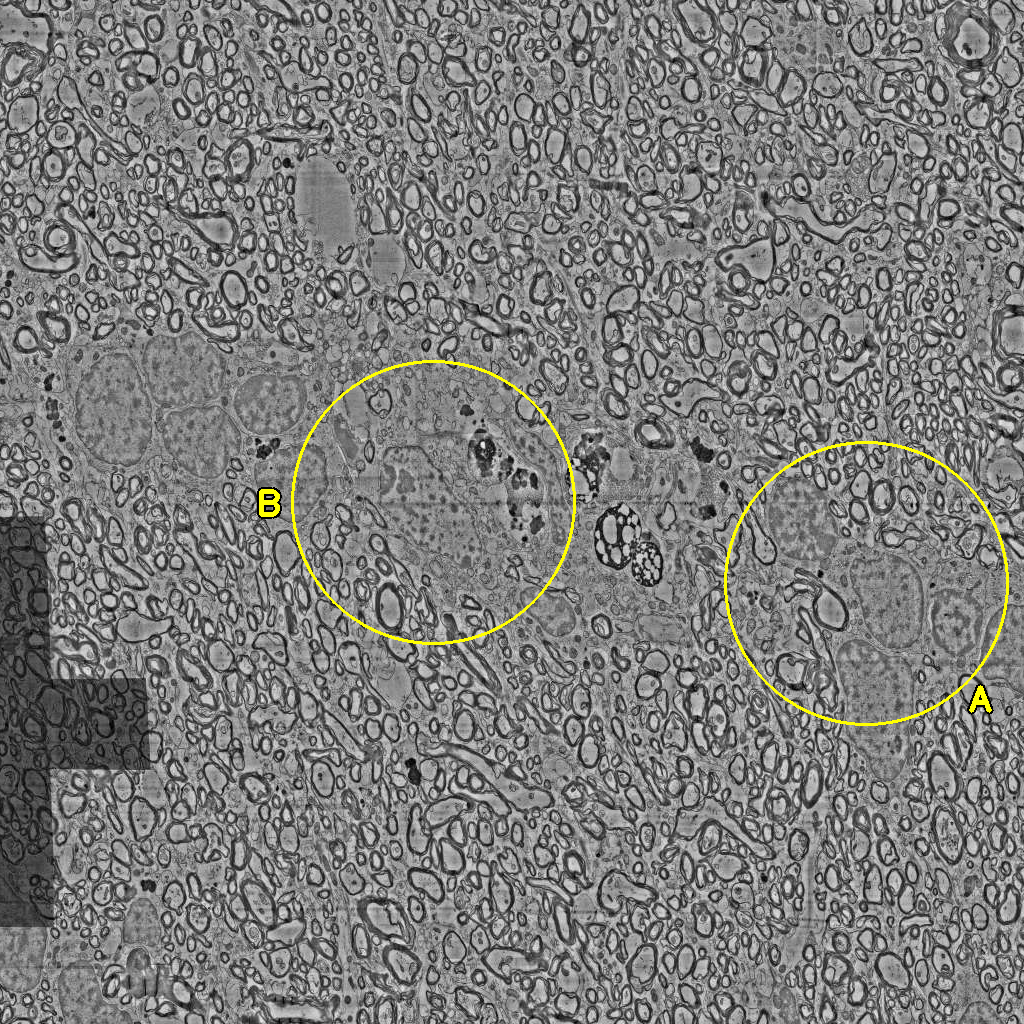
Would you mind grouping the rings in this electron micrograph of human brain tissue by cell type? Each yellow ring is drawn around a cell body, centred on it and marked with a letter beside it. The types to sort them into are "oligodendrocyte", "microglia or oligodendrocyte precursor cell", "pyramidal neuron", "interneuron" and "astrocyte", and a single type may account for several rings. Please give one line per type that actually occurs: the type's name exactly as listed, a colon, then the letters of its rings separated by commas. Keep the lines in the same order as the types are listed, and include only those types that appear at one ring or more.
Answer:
oligodendrocyte: A
astrocyte: B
